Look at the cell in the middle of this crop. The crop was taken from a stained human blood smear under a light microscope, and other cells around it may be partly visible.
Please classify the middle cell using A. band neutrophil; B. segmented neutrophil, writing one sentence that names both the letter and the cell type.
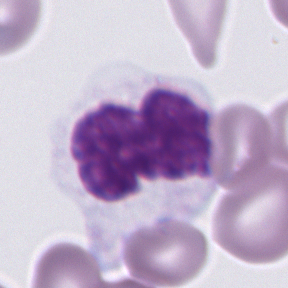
The centered cell is a segmented neutrophil, which is why option B is right.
